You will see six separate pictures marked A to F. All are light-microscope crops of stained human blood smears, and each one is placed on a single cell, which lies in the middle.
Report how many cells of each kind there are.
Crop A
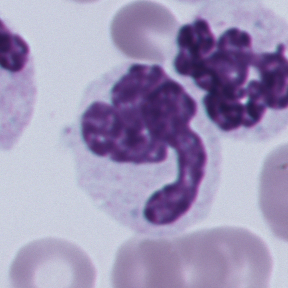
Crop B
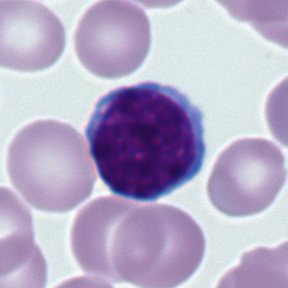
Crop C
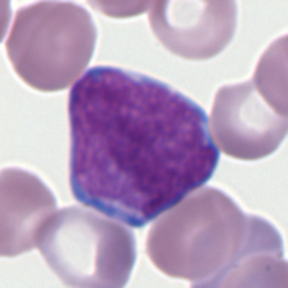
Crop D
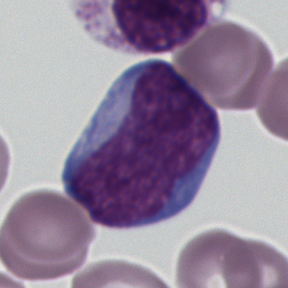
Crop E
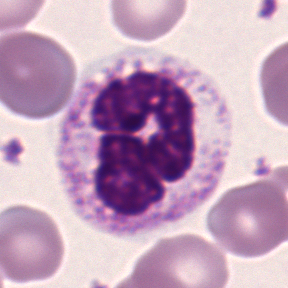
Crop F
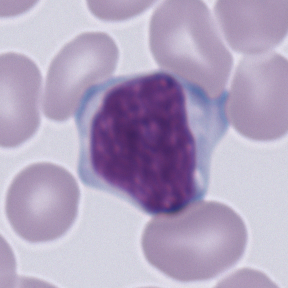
segmented neutrophil: 2
typical lymphocyte: 2
myeloblast: 2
